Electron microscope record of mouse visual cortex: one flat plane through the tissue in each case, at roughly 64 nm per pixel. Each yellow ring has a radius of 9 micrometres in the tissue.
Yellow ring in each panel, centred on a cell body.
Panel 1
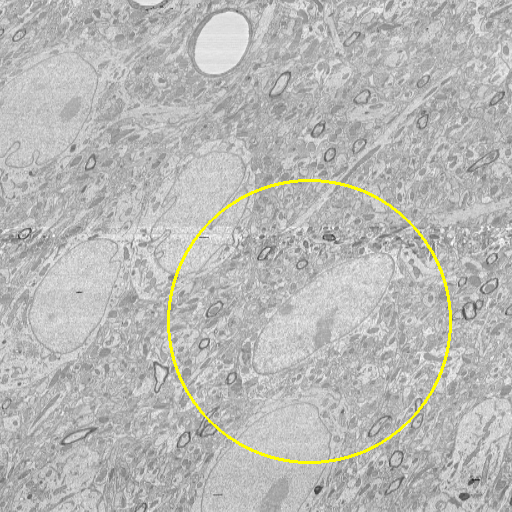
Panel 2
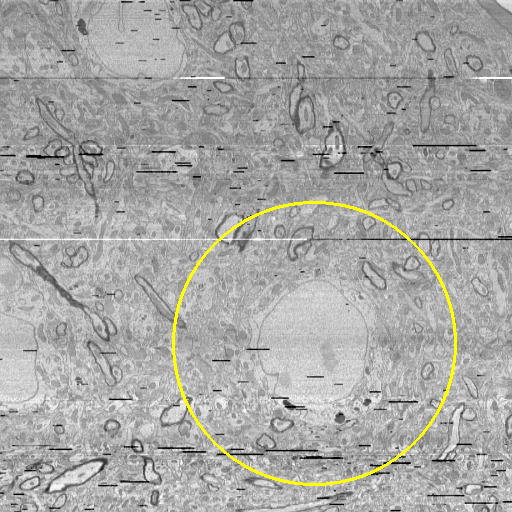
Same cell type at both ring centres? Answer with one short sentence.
No, the two cells are of two types.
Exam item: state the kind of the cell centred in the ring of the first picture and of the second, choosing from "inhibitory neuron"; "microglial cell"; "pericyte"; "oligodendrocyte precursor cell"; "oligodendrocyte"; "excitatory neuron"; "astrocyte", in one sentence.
The first picture shows an astrocyte at the ring centre and the second shows an excitatory neuron.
